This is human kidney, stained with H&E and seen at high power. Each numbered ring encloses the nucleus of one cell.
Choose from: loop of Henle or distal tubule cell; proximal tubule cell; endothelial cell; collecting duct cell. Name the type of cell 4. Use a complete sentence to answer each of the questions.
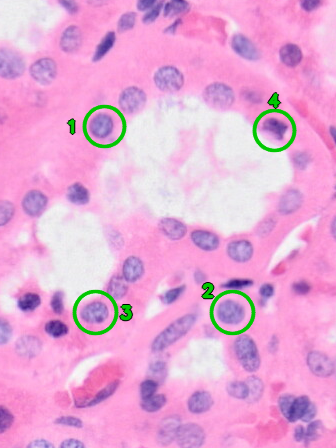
The cell pointed out by number 4 is a loop of Henle or distal tubule cell.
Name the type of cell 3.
The numeral 3 marks a loop of Henle or distal tubule cell in this section.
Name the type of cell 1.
The cell identified by the number 1 is a loop of Henle or distal tubule cell.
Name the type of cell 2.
The numeral 2 marks a collecting duct cell in this section.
